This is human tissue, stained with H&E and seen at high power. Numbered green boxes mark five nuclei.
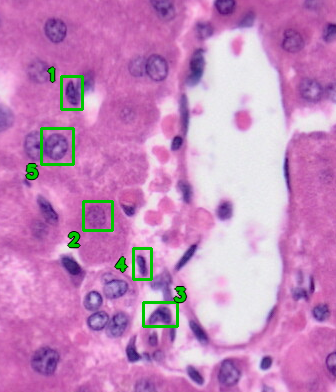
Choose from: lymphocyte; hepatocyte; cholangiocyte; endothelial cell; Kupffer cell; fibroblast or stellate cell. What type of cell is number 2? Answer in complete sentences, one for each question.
It is as a hepatocyte that the cell numbered 2 is identified.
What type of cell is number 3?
In the tissue shown, cell 3 is a fibroblast or stellate cell.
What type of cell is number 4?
Cell 4, among those numbered, is a fibroblast or stellate cell.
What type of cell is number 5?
The cell bearing label 5 corresponds to a hepatocyte.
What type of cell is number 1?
Numbered cell 1 is a fibroblast or stellate cell in this tissue section.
